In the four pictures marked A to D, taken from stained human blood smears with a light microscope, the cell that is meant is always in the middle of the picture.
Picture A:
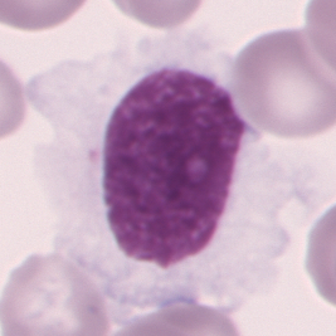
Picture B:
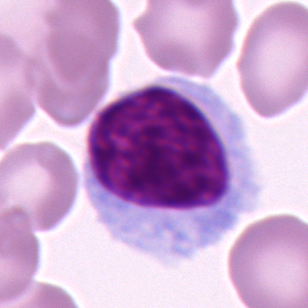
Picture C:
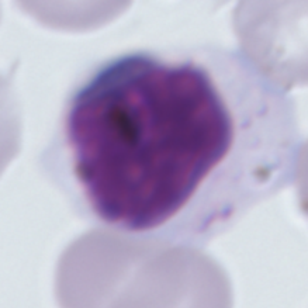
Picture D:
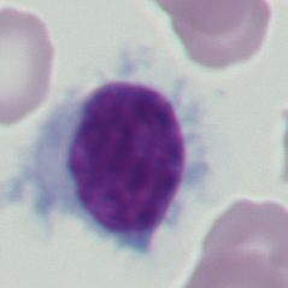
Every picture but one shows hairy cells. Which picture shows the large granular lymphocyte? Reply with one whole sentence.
The picture with the large granular lymphocyte is C.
